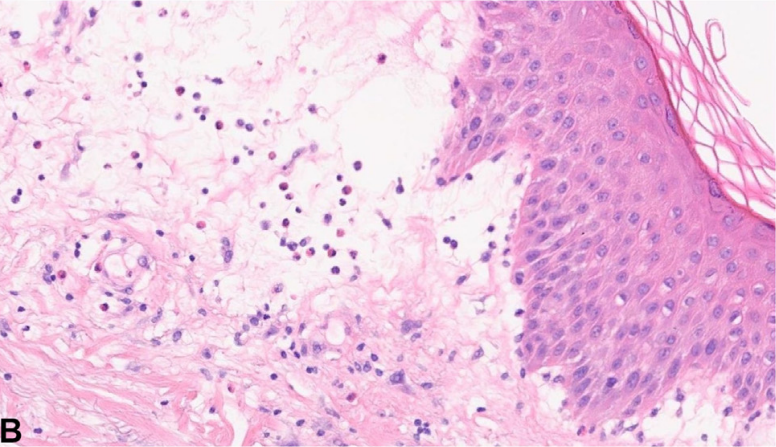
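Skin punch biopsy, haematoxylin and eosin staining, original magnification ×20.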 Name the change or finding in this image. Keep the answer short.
edematous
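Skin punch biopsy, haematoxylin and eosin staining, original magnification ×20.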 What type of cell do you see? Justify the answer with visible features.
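Eosinophils. Many scattered cells have bright orange-pink granular cytoplasm. These cells have small, lobed dark nuclei.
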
